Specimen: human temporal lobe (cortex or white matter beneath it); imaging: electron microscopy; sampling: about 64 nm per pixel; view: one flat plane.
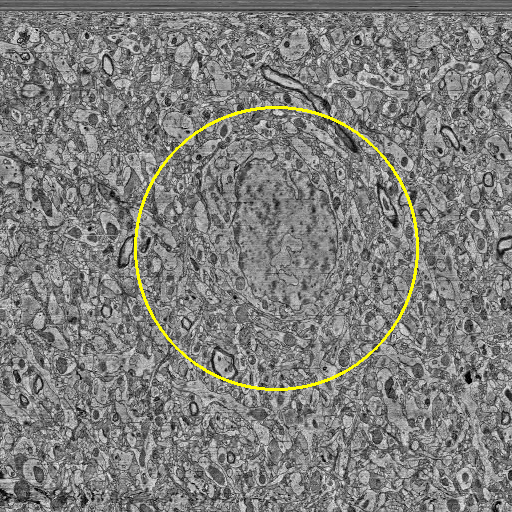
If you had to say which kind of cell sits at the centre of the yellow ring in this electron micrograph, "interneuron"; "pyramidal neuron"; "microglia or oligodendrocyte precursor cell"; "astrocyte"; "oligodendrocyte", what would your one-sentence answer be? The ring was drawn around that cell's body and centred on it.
The cell sitting at the centre of the ring is an interneuron.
